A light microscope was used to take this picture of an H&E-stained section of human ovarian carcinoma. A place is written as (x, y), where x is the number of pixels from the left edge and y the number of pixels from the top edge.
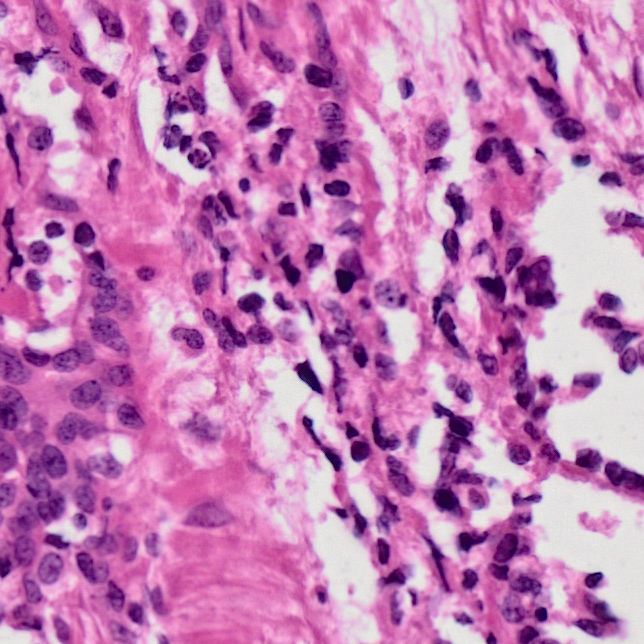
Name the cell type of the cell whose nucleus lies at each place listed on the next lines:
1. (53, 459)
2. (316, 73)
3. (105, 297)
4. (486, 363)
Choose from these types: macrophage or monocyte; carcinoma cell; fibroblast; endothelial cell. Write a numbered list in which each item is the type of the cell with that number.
1. carcinoma cell
2. carcinoma cell
3. carcinoma cell
4. macrophage or monocyte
